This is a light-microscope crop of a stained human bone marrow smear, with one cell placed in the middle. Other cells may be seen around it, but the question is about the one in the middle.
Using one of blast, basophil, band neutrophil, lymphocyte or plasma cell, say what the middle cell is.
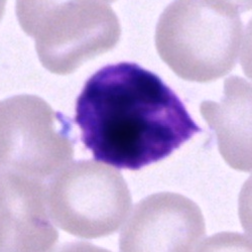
basophil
